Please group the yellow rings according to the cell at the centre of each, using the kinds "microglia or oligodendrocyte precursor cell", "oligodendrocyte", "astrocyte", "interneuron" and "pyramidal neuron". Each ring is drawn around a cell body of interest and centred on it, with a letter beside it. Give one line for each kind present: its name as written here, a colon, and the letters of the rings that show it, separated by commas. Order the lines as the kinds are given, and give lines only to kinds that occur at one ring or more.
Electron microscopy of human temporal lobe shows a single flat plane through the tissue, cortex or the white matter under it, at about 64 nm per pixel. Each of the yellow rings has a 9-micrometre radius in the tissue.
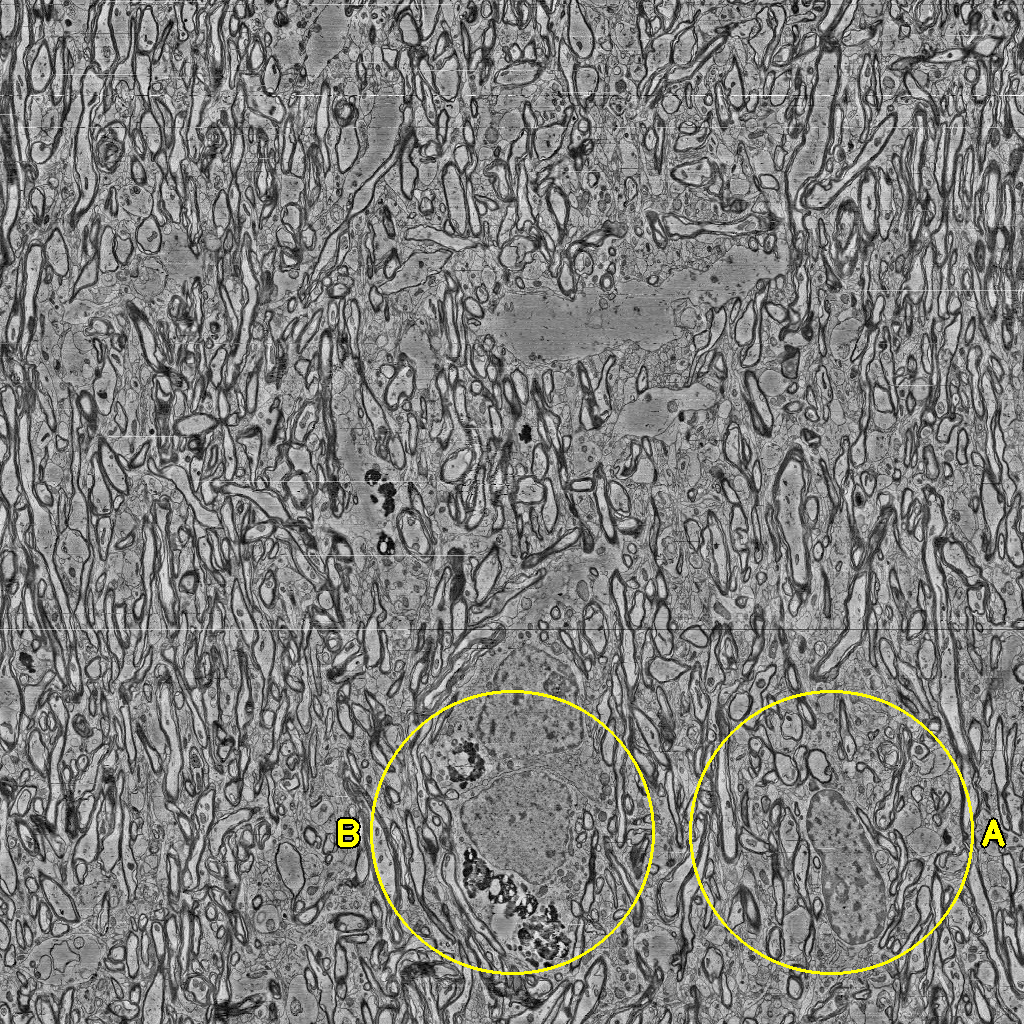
microglia or oligodendrocyte precursor cell: A
astrocyte: B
